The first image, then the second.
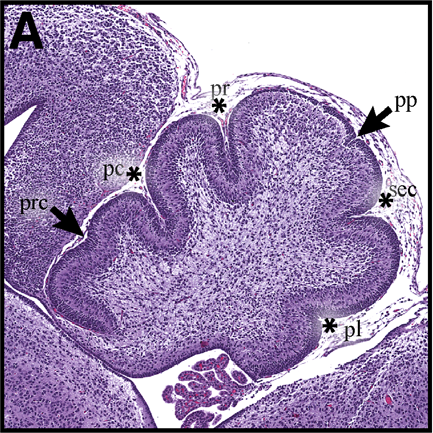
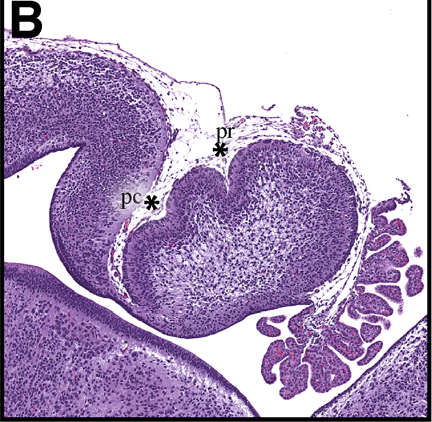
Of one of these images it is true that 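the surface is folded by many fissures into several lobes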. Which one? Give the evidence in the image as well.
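Second image: the organ is smaller and rounded, with only two clefts on its upper side. First image: the outline is cut by about six clefts into several distinct lobes.
Answer: the first image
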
